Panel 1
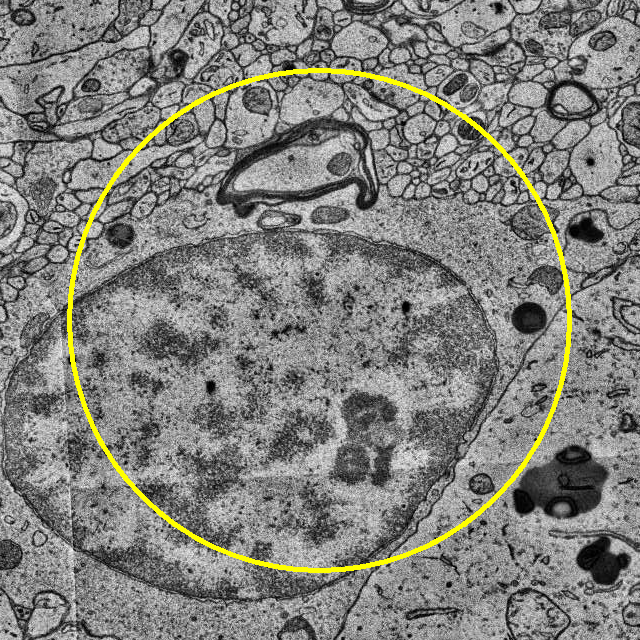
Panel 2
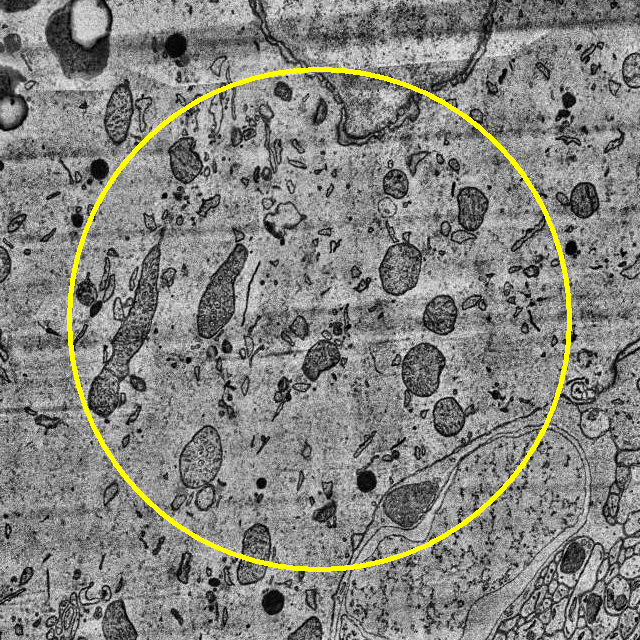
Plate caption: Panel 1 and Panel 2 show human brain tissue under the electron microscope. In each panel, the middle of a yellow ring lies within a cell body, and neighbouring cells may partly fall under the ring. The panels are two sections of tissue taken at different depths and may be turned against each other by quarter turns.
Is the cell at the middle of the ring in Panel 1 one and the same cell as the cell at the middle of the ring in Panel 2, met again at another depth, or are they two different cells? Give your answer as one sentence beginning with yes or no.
No, the rings mark two cells rather than a single cell.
